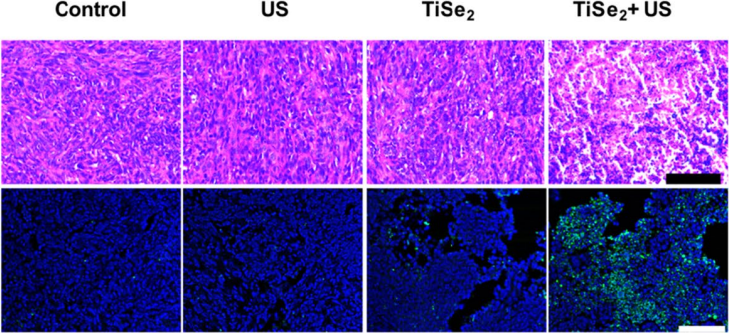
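In the upper row, the first three images show densely packed tumor cells with dark purple nuclei in pink cytoplasm. The last image of that row is paler and looser, with open spaces between fewer, scattered cells.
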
